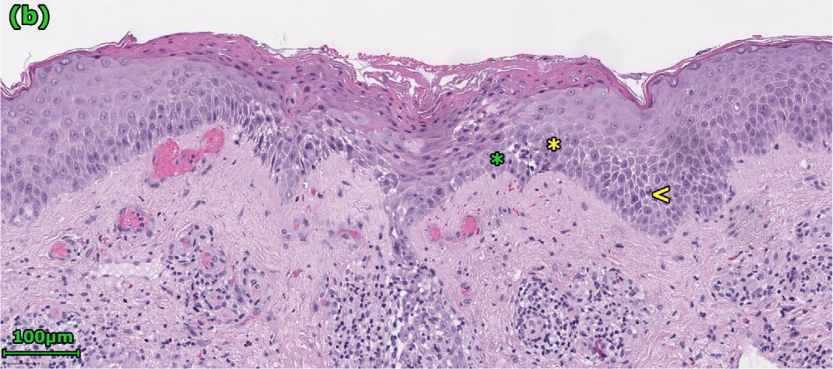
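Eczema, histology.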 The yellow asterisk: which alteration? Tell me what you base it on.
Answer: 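Small clear spaces open up within the epidermis at the asterisk. The cells around it are pulled apart. That points to this answer: incipient spongiotic vesicle formation.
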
